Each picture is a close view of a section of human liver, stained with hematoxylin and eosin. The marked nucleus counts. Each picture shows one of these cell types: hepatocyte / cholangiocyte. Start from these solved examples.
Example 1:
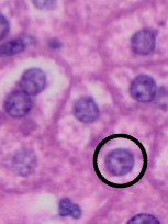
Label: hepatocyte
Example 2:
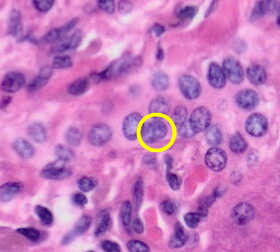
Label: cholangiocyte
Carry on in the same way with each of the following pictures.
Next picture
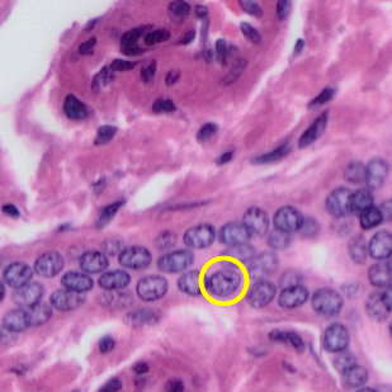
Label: cholangiocyte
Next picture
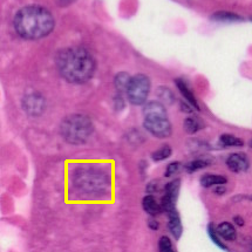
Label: hepatocyte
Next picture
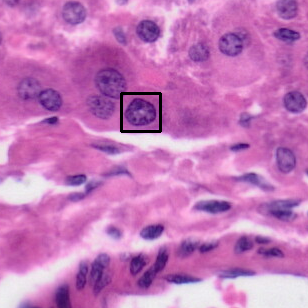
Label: hepatocyte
